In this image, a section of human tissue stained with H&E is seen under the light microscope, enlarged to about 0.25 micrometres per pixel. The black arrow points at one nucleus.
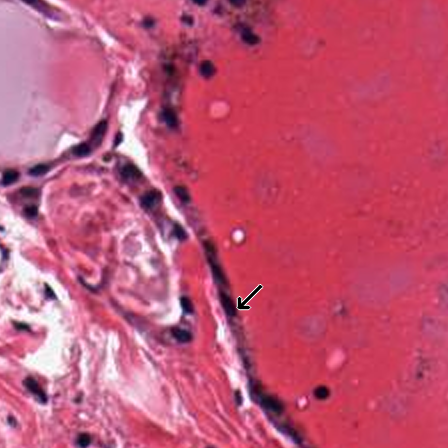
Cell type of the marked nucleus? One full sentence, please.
It is a thyroid follicular cell that the marked nucleus belongs to.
